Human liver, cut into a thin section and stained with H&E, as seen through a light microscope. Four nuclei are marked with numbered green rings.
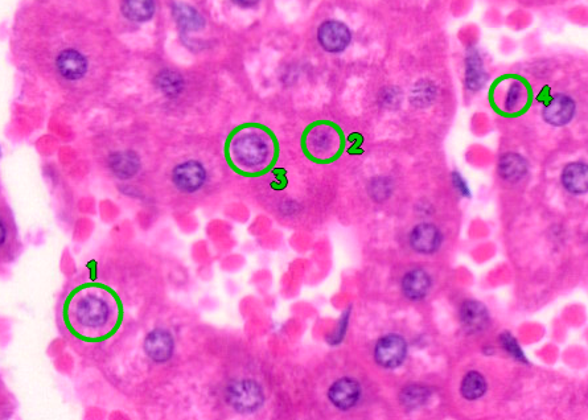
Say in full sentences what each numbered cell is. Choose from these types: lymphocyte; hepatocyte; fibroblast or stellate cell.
Cells 1, 2 and 3 are hepatocytes. Cell 4 is a fibroblast or stellate cell.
